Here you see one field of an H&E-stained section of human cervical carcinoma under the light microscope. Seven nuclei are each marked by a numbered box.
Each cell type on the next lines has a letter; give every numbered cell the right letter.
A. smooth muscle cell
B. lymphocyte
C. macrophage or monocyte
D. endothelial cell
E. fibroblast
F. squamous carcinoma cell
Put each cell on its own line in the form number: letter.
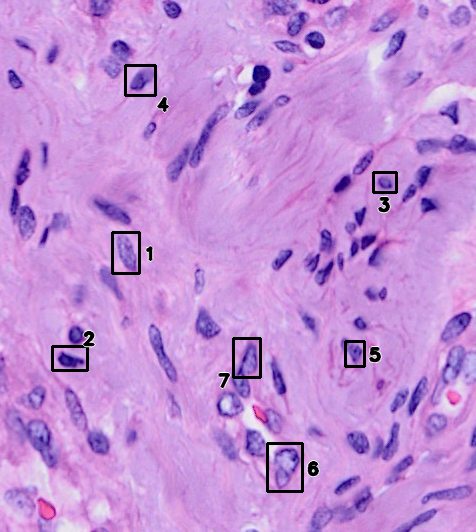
1: E
2: B
3: E
4: E
5: A
6: D
7: D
